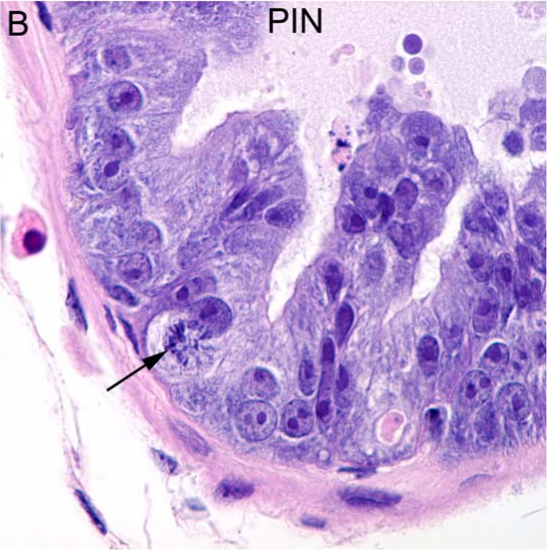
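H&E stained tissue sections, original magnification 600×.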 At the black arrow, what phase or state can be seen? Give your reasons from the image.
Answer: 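The arrow points to a cell with no intact nuclear outline. Its chromatin forms a cluster of condensed dark threads. That points to this answer: mitotic figure.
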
